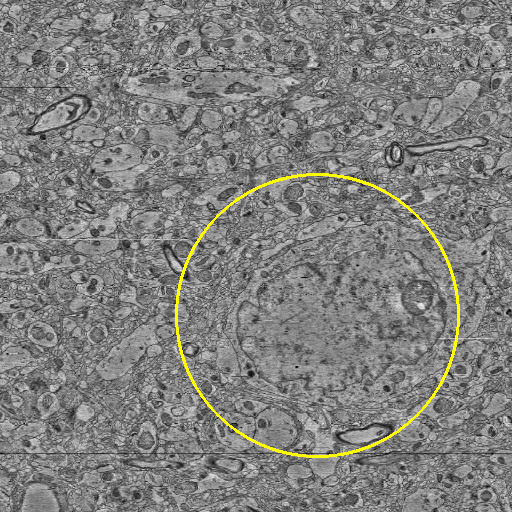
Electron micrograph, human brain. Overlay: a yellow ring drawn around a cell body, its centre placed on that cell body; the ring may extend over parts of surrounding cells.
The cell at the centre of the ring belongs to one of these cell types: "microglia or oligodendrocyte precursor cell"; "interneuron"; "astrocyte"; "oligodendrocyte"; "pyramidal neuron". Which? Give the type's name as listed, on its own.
interneuron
